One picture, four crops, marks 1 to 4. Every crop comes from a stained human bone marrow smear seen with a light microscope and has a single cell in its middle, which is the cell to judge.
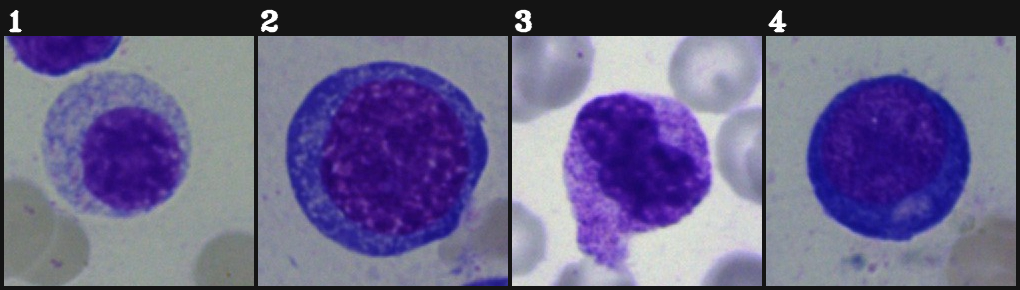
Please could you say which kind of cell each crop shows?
1: myelocyte
2: proerythroblast
3: metamyelocyte
4: proerythroblast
